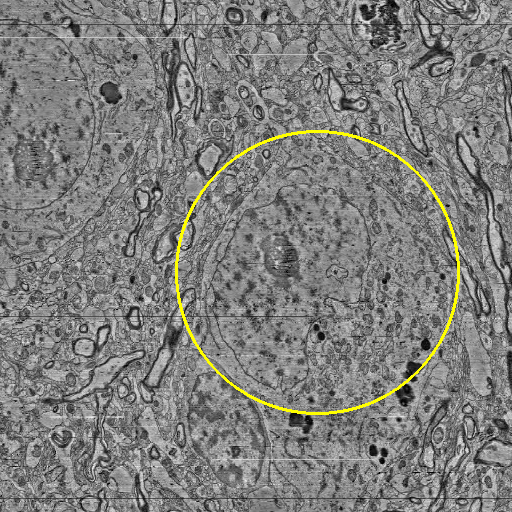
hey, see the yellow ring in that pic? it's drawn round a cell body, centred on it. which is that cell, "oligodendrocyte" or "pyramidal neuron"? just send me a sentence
The cell in the ring is a pyramidal neuron.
